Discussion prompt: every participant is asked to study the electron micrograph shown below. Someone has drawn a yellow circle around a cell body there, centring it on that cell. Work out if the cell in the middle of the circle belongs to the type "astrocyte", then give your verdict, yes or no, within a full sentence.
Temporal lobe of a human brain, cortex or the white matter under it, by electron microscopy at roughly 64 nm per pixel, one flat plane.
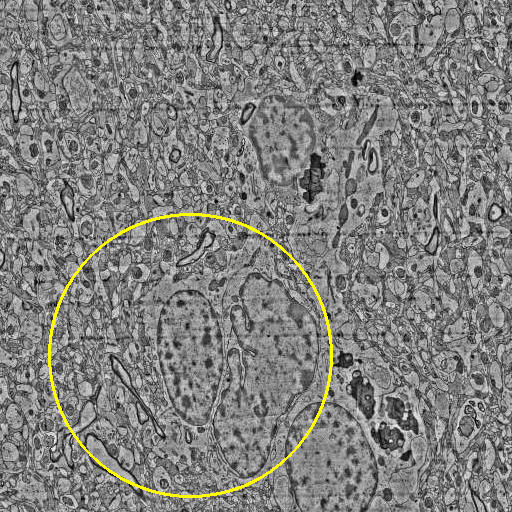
Yes, my verdict is that the cell in the circle's centre is of that type.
